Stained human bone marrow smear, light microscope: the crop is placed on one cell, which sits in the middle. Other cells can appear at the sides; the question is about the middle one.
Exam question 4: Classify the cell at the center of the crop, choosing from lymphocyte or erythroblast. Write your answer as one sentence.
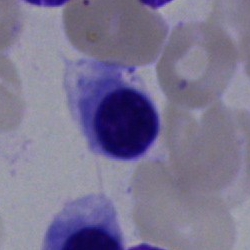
Where the crop is centred, there is an erythroblast.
